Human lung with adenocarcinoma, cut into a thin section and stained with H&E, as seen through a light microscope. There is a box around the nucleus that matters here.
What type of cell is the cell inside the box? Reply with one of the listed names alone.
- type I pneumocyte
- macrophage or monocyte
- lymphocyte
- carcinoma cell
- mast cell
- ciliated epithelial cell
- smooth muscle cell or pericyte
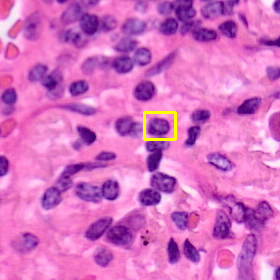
lymphocyte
